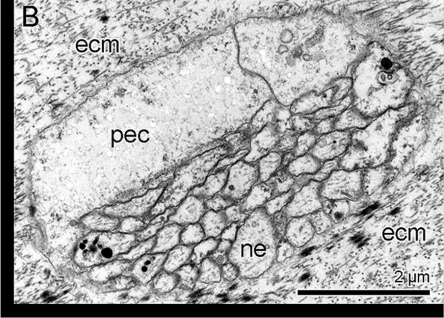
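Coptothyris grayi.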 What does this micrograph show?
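This electron micrograph shows a small nerve cut across, lying within fibrous extracellular matrix. It consists of many rounded to polygonal profiles of neurites, each bounded by a thin membrane and mostly pale inside, a few holding dark dense granules. The bundle is wrapped on one side by a broad, pale, smooth cell process that separates it from the matrix.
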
